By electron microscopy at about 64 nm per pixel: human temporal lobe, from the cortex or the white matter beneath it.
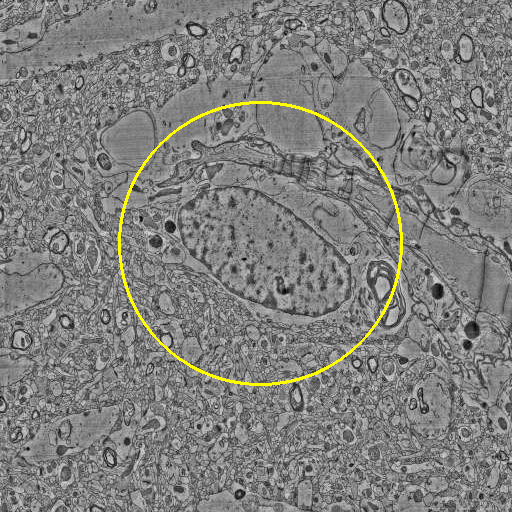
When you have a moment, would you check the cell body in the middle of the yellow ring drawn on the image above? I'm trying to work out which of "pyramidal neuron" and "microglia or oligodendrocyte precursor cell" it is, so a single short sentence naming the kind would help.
This cell body belongs to a microglial cell or oligodendrocyte precursor cell.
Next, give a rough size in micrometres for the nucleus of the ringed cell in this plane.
About 12 by 6 micrometres, the nucleus being clearly longer than it is wide in this plane.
